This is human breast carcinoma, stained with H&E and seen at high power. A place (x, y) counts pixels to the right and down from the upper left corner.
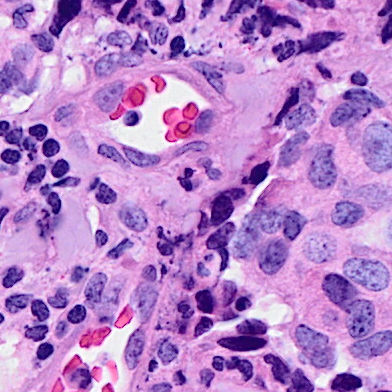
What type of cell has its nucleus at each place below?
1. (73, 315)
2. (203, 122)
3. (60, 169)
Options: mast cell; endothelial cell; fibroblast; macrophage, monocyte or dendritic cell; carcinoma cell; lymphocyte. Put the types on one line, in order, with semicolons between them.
lymphocyte; endothelial cell; lymphocyte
